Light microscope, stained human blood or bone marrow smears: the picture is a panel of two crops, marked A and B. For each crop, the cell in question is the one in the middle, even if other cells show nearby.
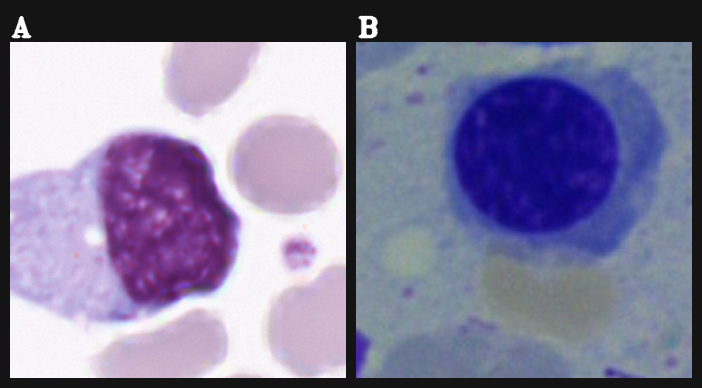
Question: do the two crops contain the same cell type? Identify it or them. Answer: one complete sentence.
No, it is crop A that shows a plasma cell, and crop B that shows an erythroblast.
